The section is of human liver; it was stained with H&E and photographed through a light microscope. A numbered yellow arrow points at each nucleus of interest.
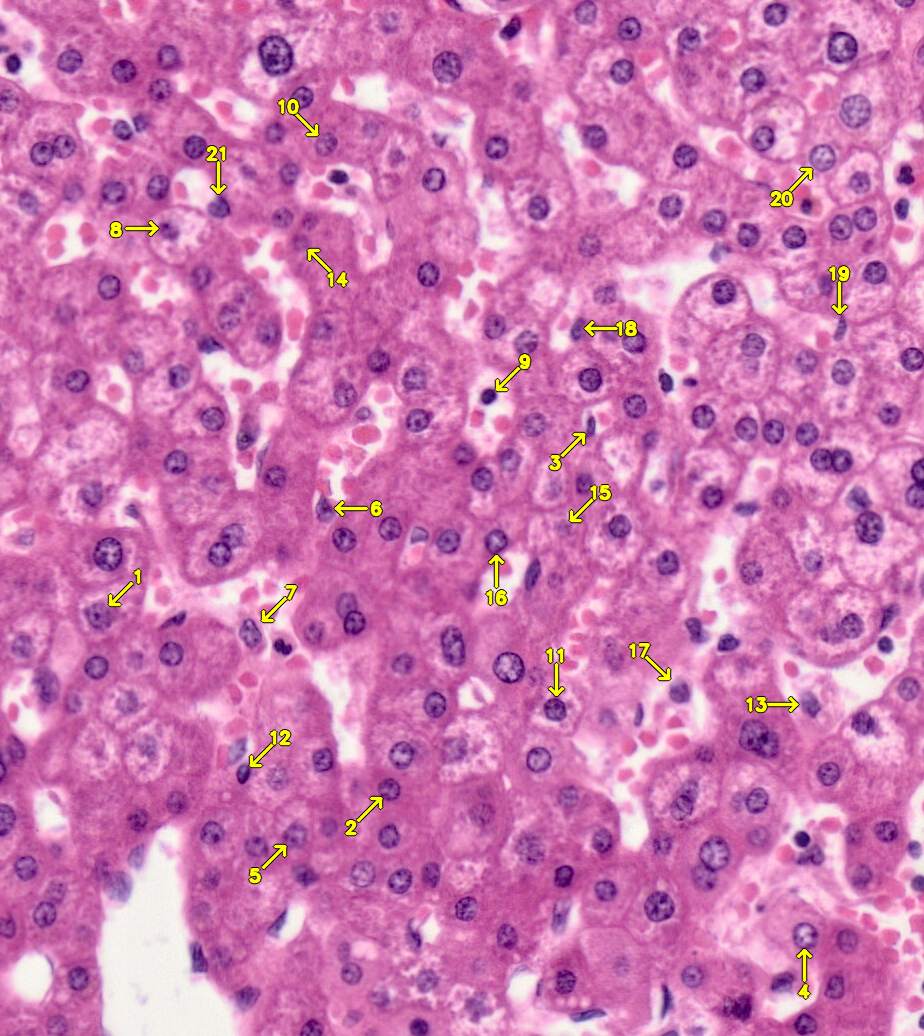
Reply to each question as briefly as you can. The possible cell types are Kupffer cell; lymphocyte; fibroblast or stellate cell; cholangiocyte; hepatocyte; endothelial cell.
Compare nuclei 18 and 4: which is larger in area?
4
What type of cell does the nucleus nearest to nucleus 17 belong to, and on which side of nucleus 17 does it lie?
a fibroblast or stellate cell below and to the left of nucleus 17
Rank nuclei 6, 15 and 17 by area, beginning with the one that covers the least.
15, 6, 17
